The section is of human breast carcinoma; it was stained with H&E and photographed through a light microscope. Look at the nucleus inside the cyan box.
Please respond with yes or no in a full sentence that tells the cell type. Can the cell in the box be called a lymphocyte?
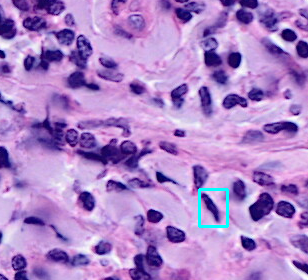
Yes, put very simply, the cell in the box is a lymphocyte.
